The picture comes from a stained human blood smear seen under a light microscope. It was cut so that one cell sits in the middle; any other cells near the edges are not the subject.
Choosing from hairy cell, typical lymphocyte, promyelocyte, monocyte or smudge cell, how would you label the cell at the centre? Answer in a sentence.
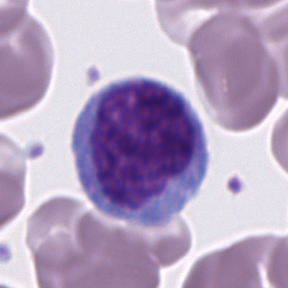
This crop is built around a monocyte at its centre.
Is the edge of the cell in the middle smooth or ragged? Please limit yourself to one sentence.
Smooth outline, no projections: that is the whole story of its edge.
